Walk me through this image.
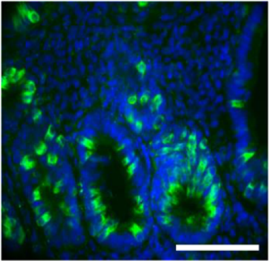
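The green spots are small and cup-shaped or round and sit singly within the epithelium among the blue nuclei. Many of them ring the crypts, facing the crypt lumen, so that cross-cut crypts look like circles studded with green.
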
